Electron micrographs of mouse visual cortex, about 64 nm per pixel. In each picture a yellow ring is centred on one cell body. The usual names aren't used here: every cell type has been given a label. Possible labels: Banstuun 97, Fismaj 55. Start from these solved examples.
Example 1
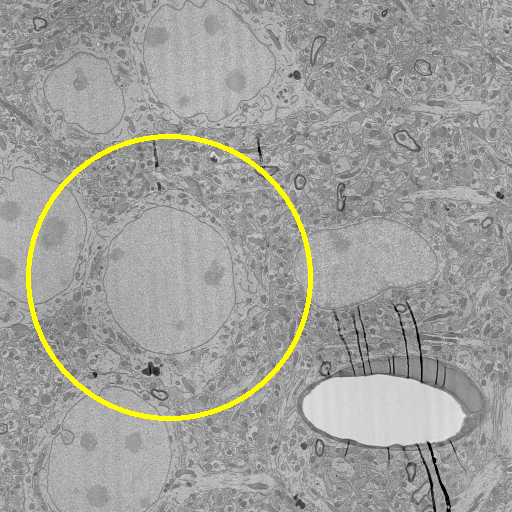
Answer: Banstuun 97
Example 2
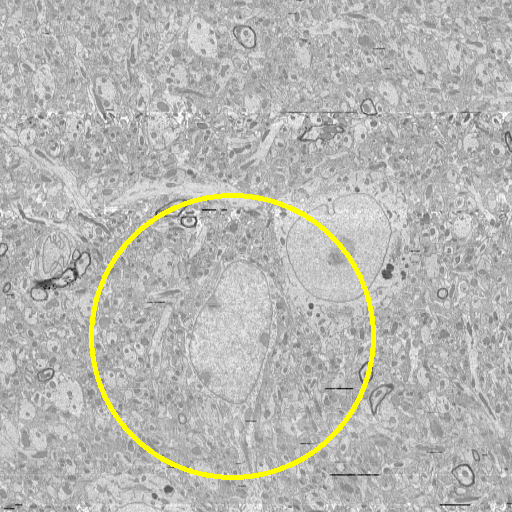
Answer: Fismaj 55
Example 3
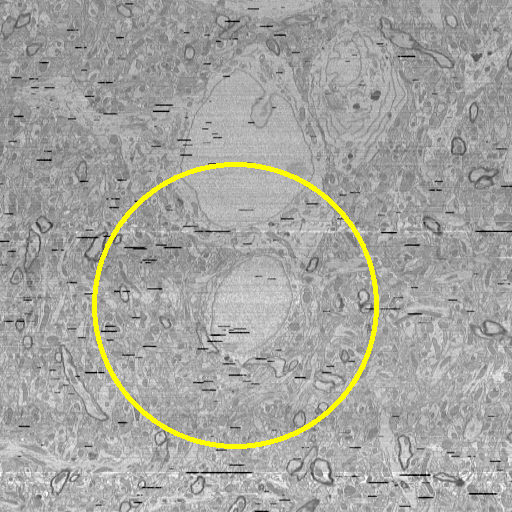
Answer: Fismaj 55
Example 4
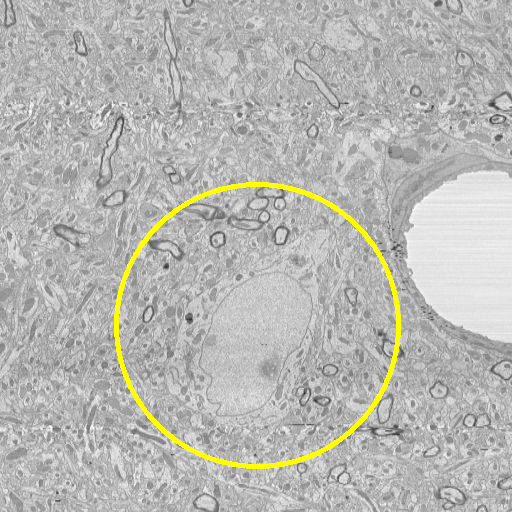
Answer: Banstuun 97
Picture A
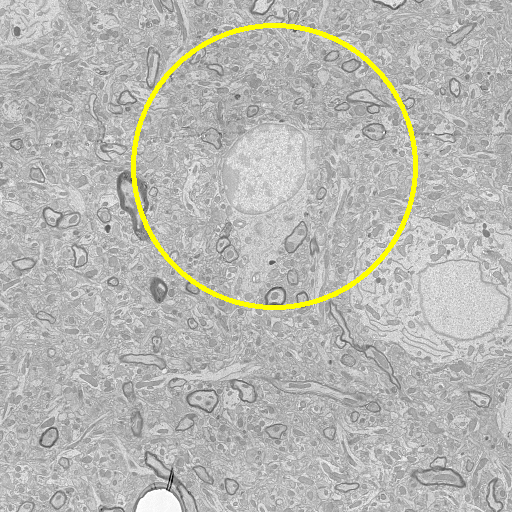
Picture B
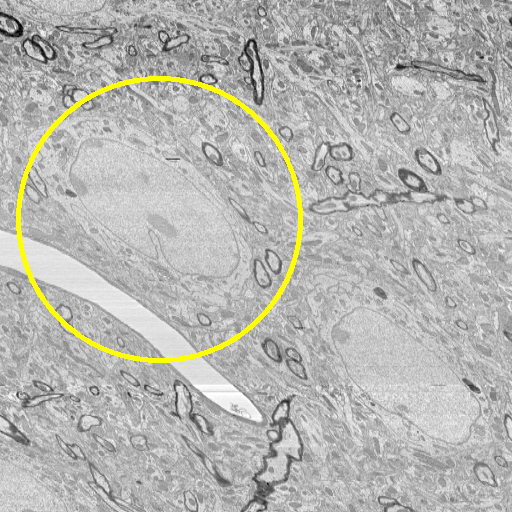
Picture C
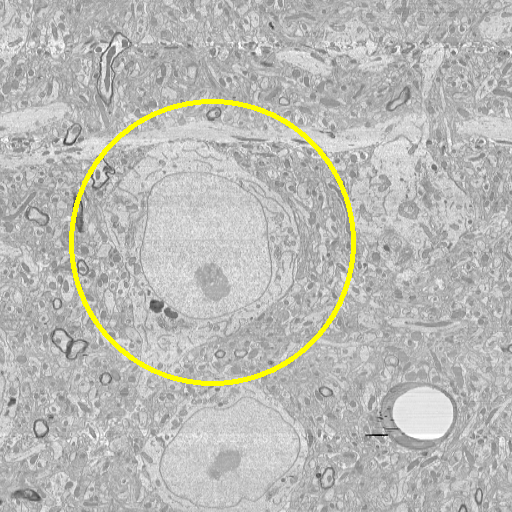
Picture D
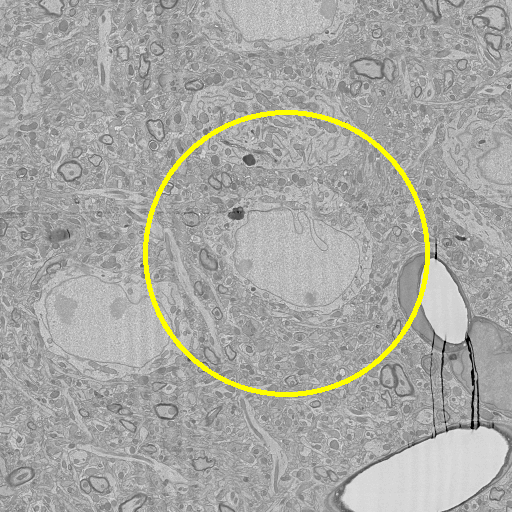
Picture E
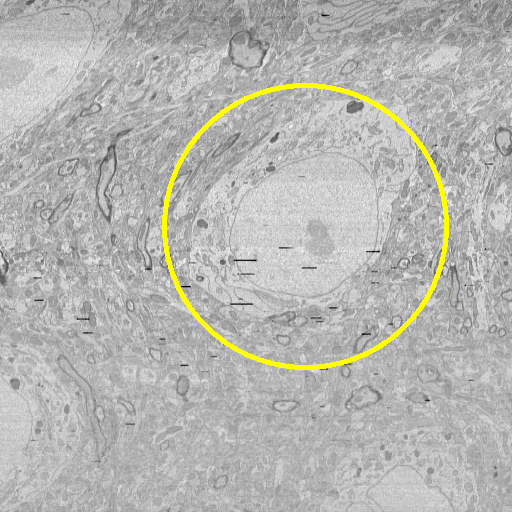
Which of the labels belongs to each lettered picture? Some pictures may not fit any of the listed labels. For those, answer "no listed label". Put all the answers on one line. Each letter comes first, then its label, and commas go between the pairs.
A no listed label, B Banstuun 97, C Banstuun 97, D Banstuun 97, E Banstuun 97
